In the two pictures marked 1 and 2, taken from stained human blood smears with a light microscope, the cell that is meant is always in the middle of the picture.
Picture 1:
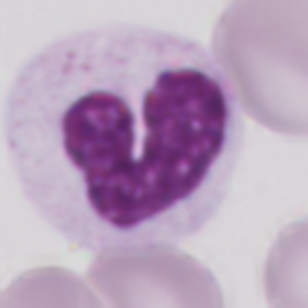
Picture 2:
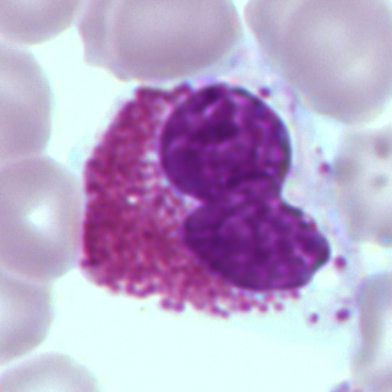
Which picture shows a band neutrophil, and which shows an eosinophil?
1: band neutrophil
2: eosinophil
